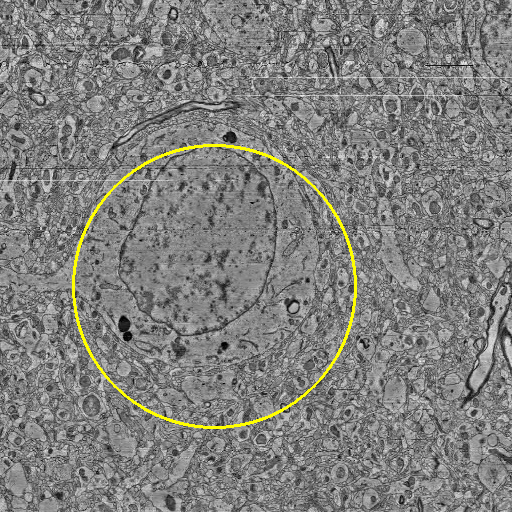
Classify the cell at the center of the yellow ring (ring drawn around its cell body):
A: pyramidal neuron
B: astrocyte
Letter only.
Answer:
A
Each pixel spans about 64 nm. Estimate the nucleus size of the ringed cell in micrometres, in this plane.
Roughly 13 by 10 micrometres is the size of the nucleus in this plane.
